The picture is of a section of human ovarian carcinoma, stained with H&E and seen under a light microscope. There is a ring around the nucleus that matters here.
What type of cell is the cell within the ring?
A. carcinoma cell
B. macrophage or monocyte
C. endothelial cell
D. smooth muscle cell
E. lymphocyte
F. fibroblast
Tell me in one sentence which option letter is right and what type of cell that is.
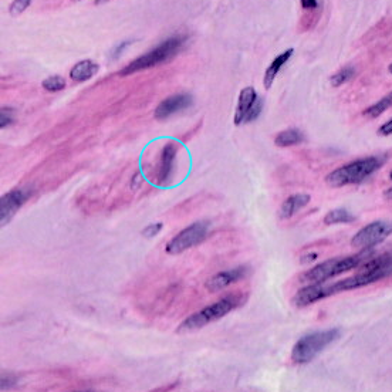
Option D names the cell within the ring correctly as a smooth muscle cell.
